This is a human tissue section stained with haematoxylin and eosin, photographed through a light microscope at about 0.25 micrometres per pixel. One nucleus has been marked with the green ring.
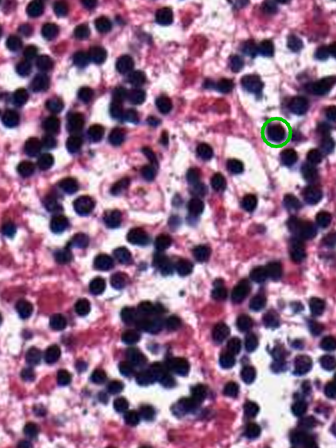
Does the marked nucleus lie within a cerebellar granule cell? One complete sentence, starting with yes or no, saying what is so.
Yes, the marked nucleus is recognised as belonging to a cerebellar granule cell.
